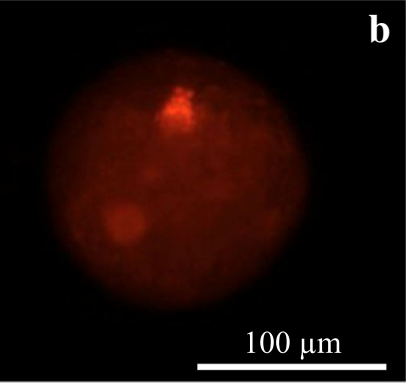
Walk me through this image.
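This is a single large, round oocyte seen by fluorescence, glowing red rather than green. Red fluorescence spreads throughout the cell. Within it lie a few brighter red patches, one near the upper edge and one lower left. The cell stands alone against a dark background.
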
